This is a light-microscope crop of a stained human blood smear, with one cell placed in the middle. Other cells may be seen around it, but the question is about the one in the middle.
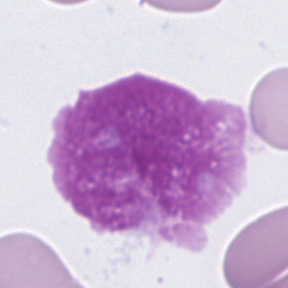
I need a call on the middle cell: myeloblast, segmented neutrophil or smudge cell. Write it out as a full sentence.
At the center of the crop sits a smudge cell.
